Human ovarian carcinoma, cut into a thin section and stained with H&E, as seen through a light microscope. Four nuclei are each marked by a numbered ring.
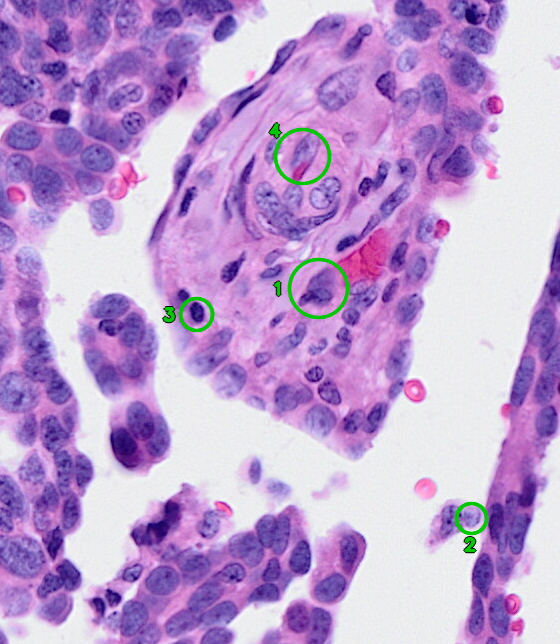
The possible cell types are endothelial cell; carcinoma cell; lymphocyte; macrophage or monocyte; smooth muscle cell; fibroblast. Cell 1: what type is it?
endothelial cell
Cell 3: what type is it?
lymphocyte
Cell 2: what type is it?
macrophage or monocyte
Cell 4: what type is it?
endothelial cell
